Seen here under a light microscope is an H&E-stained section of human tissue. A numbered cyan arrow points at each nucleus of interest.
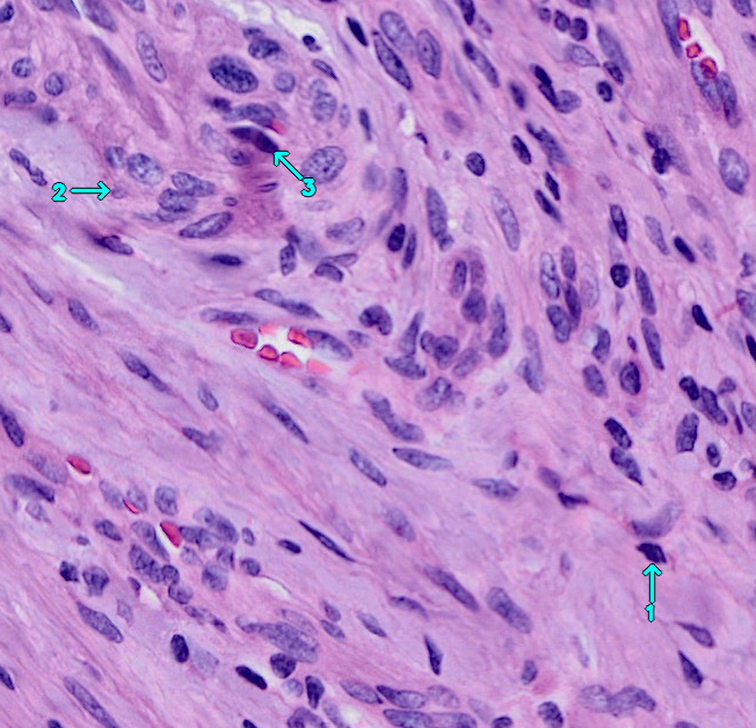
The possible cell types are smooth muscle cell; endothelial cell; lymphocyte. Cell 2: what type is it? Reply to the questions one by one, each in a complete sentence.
The identity of cell 2 is that of a smooth muscle cell.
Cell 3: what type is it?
Number 3 is placed on an endothelial cell here.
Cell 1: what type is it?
Cell 1 is classified as a lymphocyte.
